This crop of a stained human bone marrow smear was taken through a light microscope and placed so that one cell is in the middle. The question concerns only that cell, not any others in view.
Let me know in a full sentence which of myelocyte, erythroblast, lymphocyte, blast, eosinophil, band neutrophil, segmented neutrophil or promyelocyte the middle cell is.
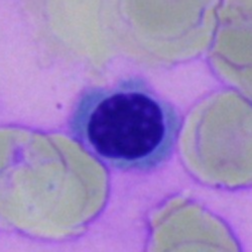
The single cell at the center of the crop is an erythroblast.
